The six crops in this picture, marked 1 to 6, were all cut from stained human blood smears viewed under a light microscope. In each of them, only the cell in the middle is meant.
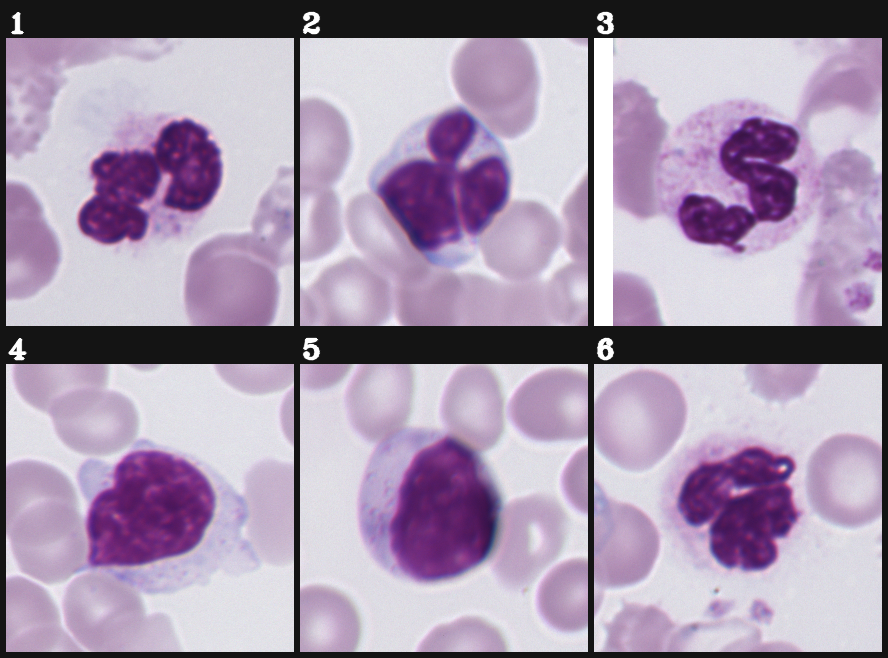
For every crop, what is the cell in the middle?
1: neutrophil
2: large granular lymphocyte
3: neutrophil
4: large granular lymphocyte
5: large granular lymphocyte
6: neutrophil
